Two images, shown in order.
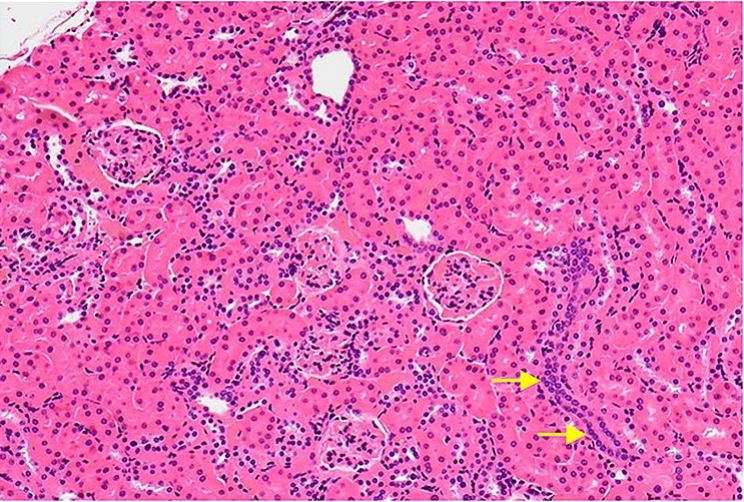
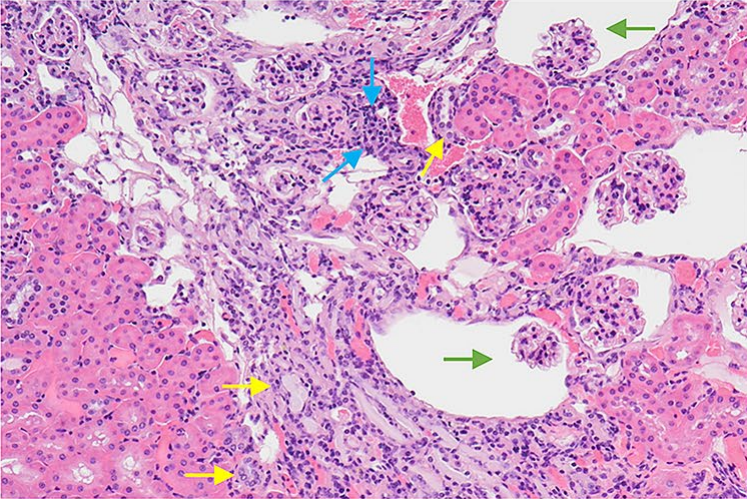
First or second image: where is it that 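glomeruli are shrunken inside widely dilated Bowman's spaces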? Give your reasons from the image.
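First image: glomeruli are round and fill their capsules, with only a thin clear rim. Second image: several small glomerular tufts lie within large empty spaces. So: the second image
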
